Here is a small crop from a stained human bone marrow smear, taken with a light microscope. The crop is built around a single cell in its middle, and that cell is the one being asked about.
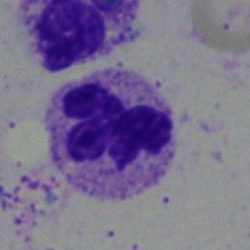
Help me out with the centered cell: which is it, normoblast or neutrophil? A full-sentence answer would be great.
In the center of this field lies a neutrophil.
